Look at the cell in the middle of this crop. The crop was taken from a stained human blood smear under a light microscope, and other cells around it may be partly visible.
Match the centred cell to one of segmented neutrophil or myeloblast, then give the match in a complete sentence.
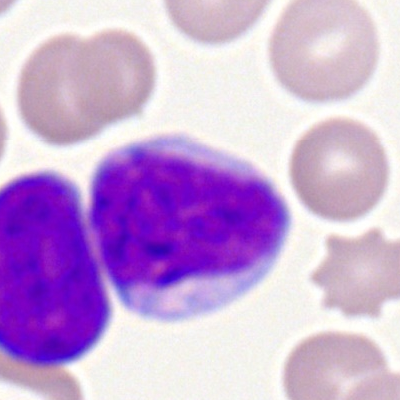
This crop's central cell is a myeloblast.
